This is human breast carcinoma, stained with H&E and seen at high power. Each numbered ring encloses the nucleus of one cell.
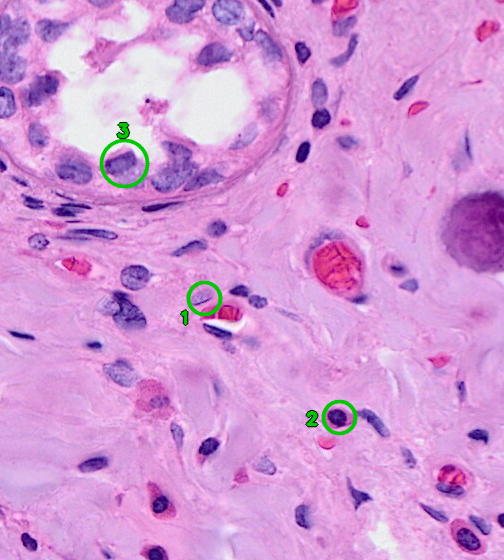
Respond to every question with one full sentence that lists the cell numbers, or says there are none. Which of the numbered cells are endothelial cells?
Cell 1 is an endothelial cell, while all remaining marked cells are of other types.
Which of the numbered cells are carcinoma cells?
Among the numbered cells, a carcinoma cell occurs only once, as cell 3.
